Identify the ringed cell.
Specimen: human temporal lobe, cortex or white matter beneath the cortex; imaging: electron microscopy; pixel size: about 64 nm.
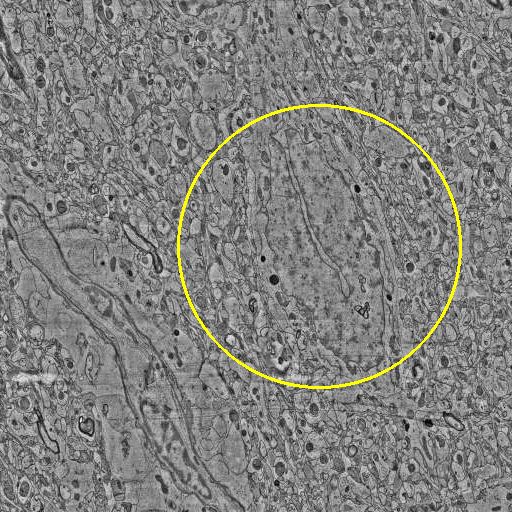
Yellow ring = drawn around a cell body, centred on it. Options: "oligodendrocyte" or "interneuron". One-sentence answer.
What the ring is centred on is an interneuron.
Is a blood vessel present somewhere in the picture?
Yes, the picture includes a blood vessel.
